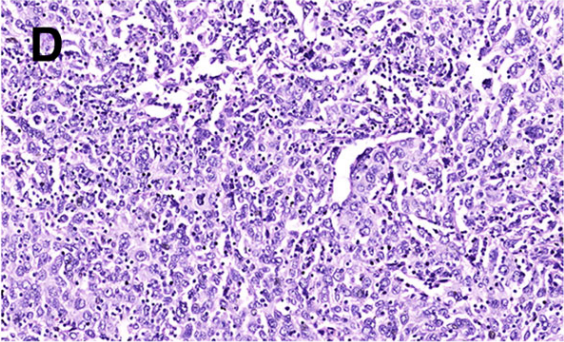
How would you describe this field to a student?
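This tumor tissue is made of sheets of large round, oval or polygonal tumor cells with indistinct cell borders, sprinkled with small lymphocytes. The tumor cells have large vesicular nuclei with visible nucleoli and pale pink cytoplasm, and in places they merge into syncytial-like groups. The small lymphocytes show as scattered small, round, dark purple nuclei between them.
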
